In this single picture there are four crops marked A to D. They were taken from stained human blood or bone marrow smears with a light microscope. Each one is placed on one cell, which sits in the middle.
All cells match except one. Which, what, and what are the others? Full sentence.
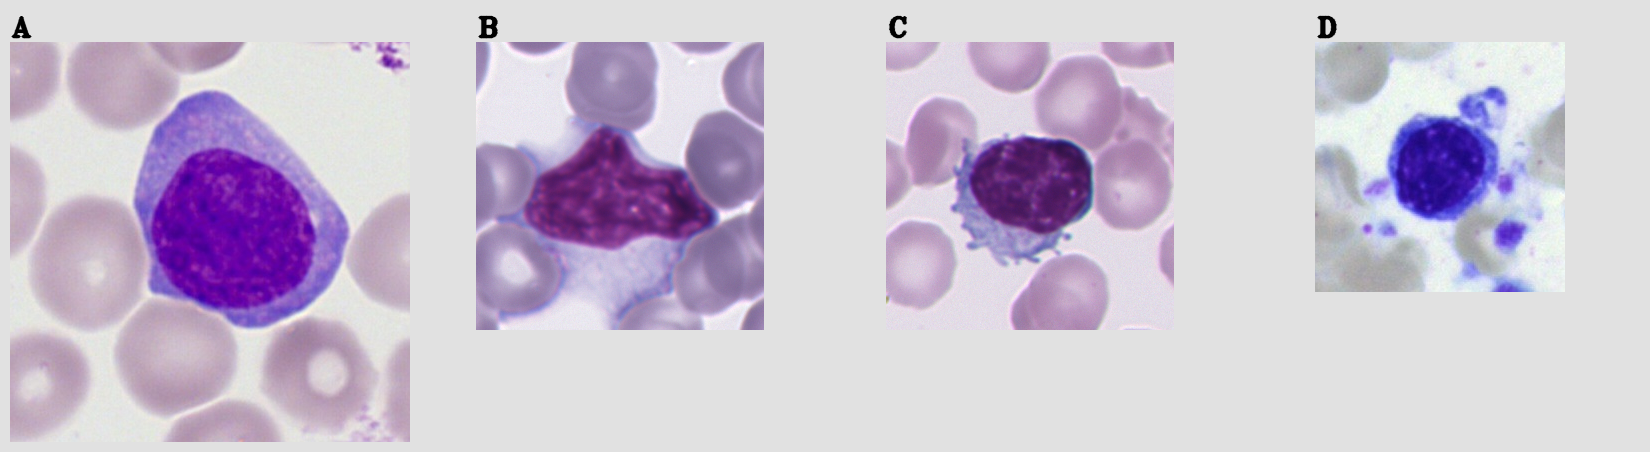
Of all the crops, only crop A shows a blast; the others show lymphocytes.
